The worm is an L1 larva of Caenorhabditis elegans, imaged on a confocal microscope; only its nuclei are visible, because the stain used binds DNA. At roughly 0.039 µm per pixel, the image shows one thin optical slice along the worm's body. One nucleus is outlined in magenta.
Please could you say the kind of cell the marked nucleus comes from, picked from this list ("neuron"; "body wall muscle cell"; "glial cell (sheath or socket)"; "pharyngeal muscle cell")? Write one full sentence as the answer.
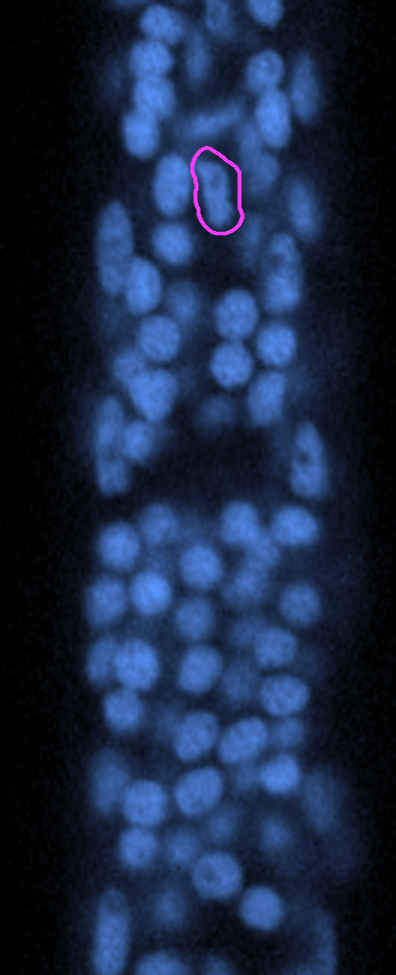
It belongs to a pharyngeal muscle cell.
